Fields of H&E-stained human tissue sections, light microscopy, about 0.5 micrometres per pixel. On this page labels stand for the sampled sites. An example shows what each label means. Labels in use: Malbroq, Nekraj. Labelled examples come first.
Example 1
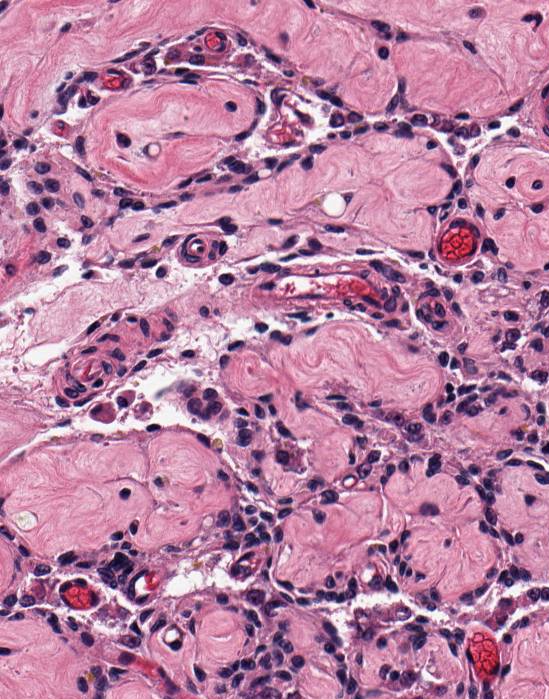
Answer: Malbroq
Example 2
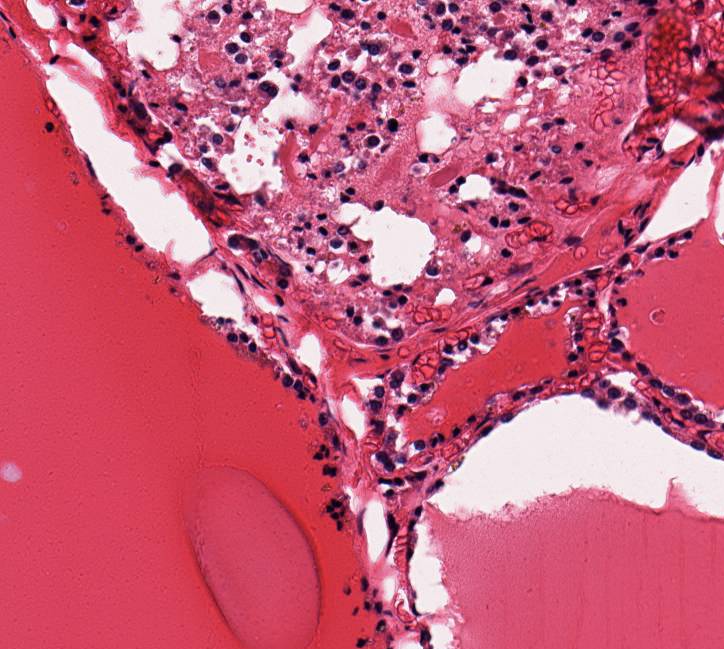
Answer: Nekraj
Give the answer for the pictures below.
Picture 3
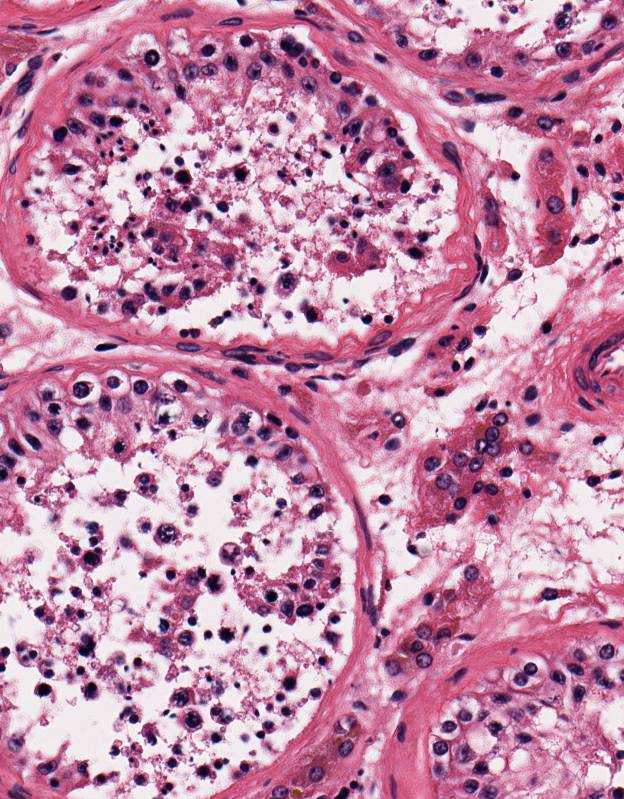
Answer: Malbroq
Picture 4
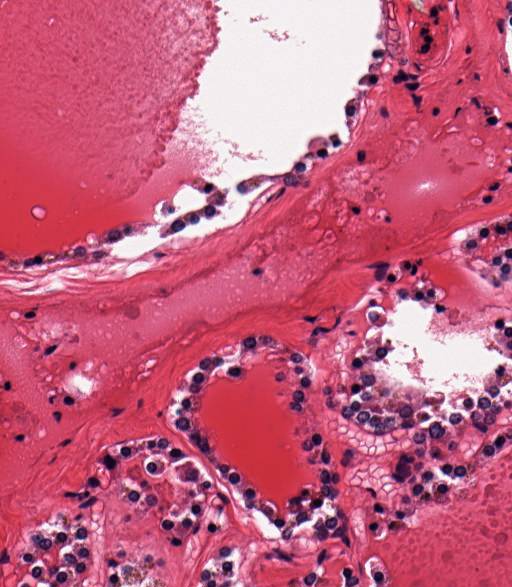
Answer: Nekraj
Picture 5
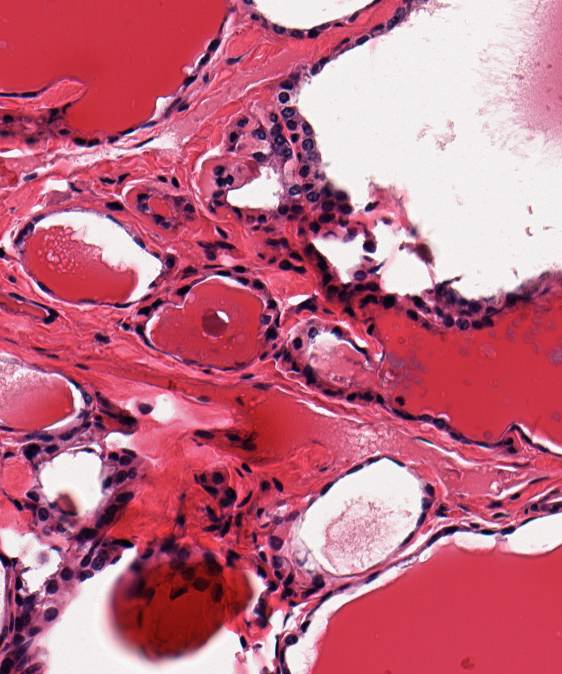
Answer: Nekraj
